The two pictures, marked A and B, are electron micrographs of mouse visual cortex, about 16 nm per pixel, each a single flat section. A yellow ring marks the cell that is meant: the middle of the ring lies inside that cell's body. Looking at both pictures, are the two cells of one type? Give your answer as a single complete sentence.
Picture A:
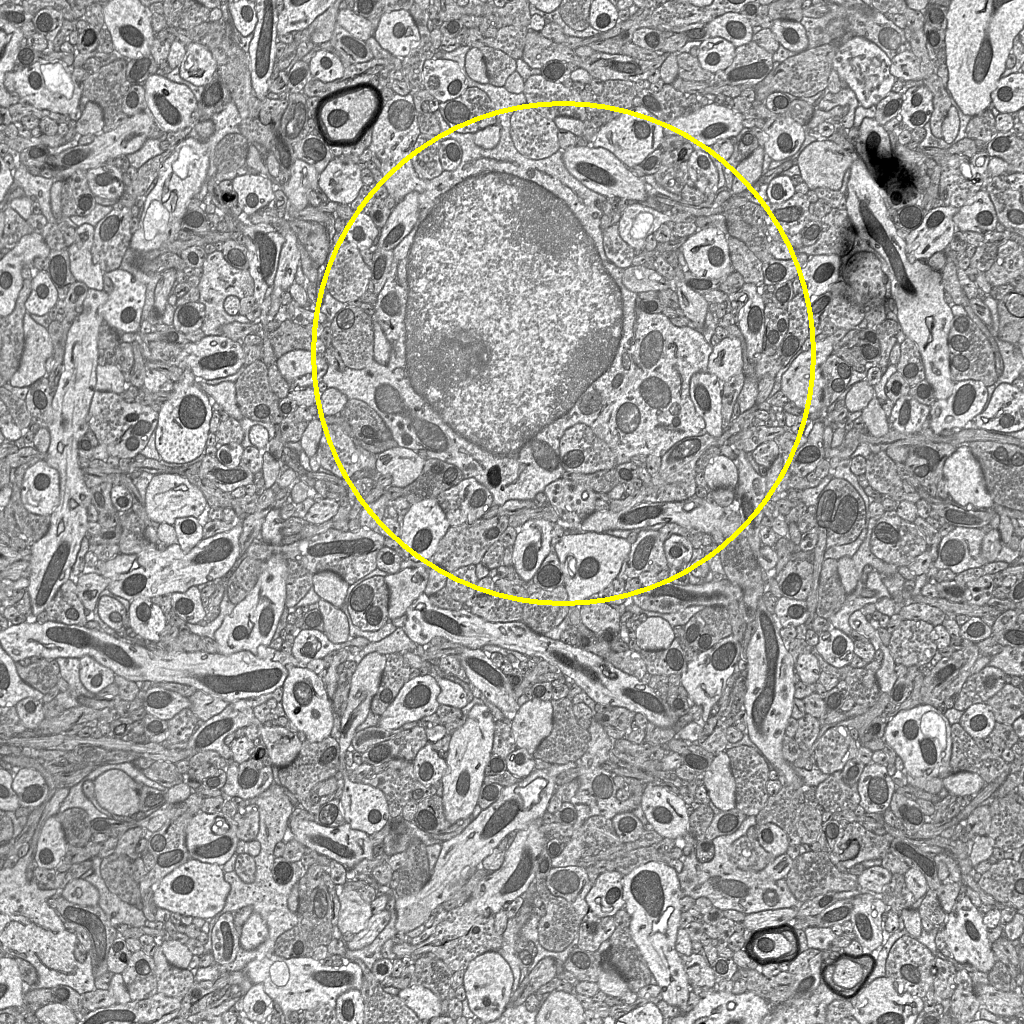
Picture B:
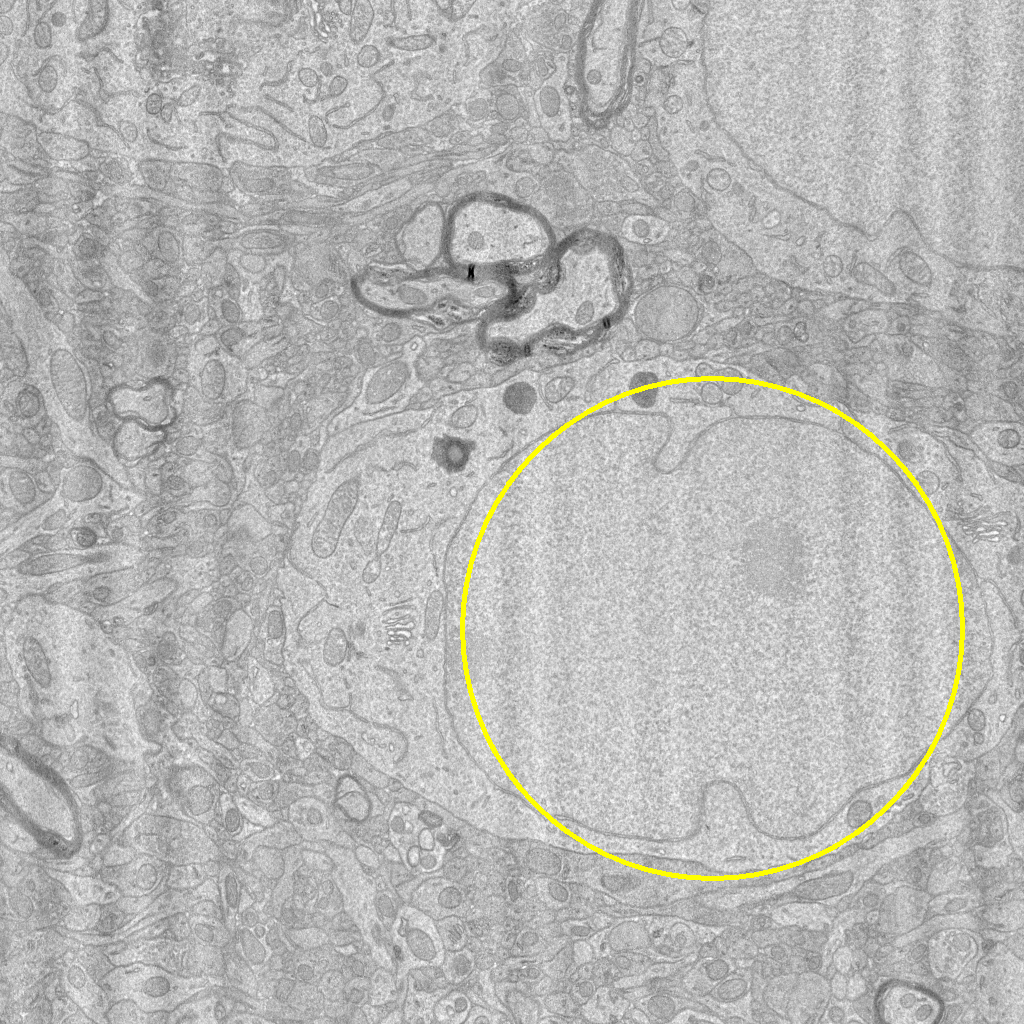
No, the types are not the same, since picture A shows an astrocyte and picture B an excitatory neuron.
